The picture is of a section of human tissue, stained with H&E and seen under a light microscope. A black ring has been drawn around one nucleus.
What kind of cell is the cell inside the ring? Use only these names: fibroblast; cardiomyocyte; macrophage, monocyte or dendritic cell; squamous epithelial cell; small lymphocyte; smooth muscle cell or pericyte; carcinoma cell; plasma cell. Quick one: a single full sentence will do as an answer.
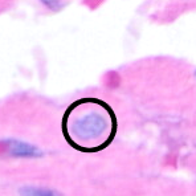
In this preparation, the cell inside the ring is a cardiomyocyte.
